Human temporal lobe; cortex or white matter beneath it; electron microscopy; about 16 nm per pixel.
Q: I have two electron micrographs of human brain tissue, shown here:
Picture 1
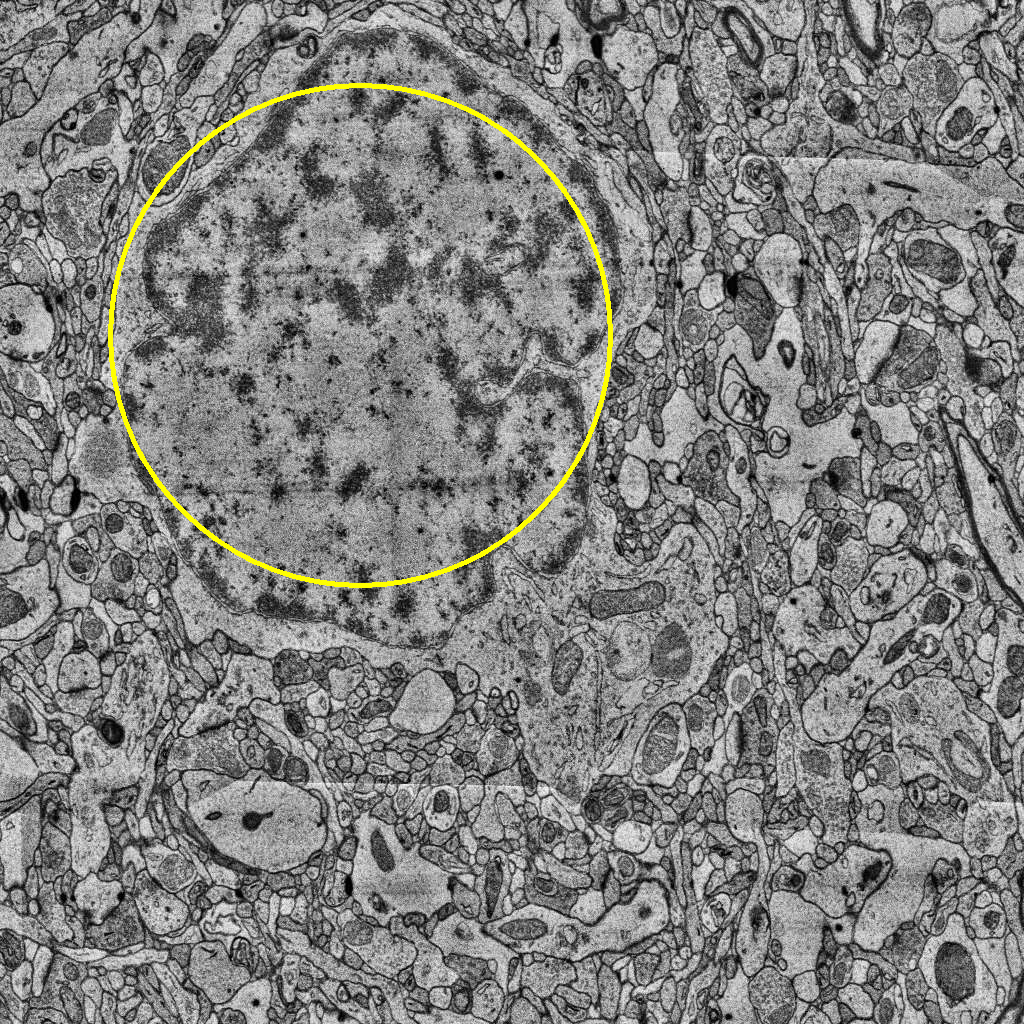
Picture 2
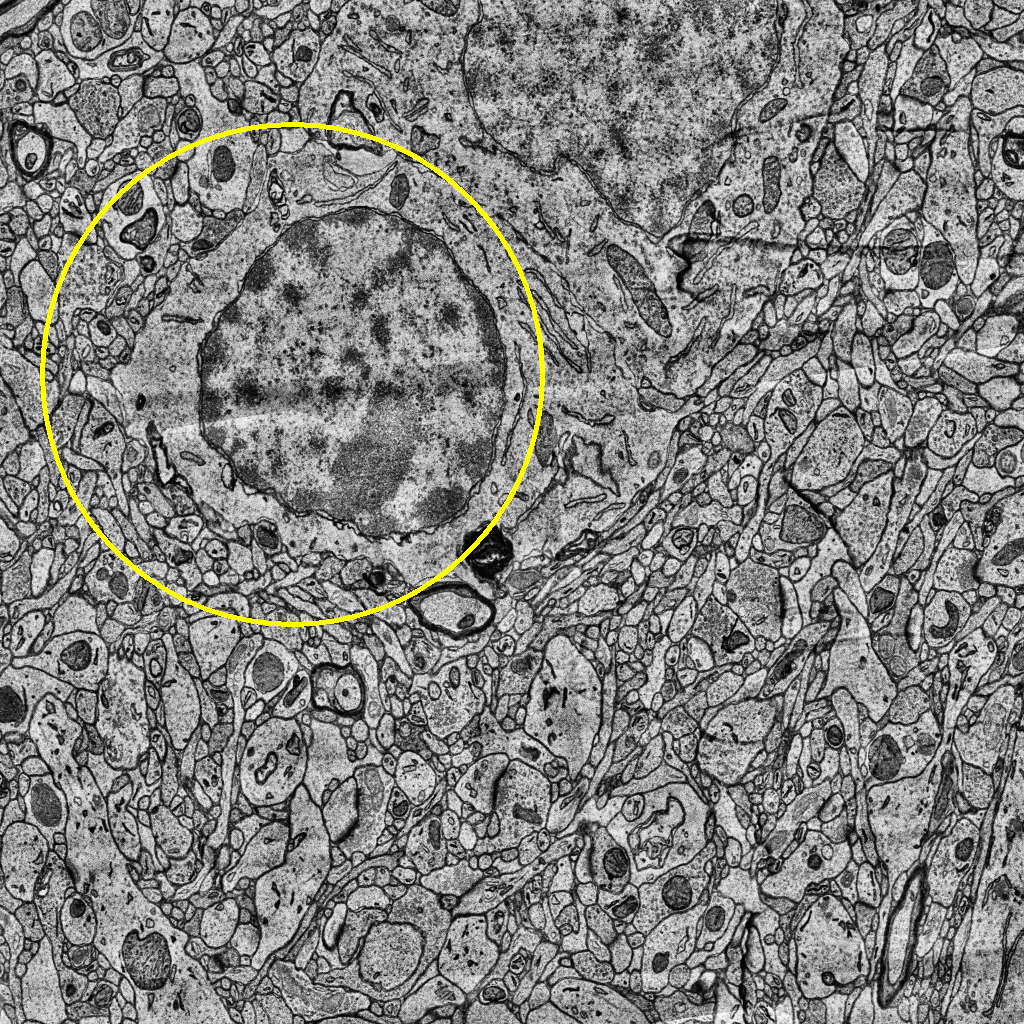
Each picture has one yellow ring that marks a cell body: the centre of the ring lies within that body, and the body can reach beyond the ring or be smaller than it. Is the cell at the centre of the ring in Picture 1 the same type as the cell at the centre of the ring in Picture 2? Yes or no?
yes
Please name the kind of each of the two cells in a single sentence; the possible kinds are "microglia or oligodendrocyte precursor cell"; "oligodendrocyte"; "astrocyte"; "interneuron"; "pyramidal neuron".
Both cells are the same kind, each one being a microglial cell or oligodendrocyte precursor cell.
